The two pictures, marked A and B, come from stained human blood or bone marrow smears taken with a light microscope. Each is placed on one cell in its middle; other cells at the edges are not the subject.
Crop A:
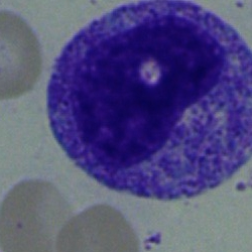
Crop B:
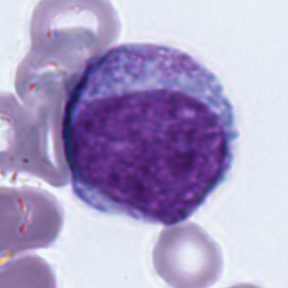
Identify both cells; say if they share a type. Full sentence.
No, crop A presents a myelocyte, whereas crop B presents a promyelocyte.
